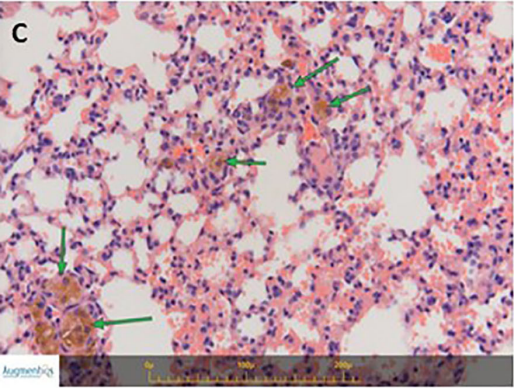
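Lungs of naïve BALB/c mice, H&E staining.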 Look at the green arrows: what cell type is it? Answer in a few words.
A: Pigment laden macrophages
